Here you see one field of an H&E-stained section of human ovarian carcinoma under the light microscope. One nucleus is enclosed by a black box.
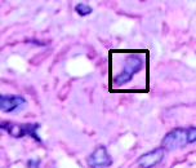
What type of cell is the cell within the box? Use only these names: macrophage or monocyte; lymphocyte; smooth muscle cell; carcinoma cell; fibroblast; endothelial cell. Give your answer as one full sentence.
As a matter of cell type, the cell within the box is a fibroblast.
